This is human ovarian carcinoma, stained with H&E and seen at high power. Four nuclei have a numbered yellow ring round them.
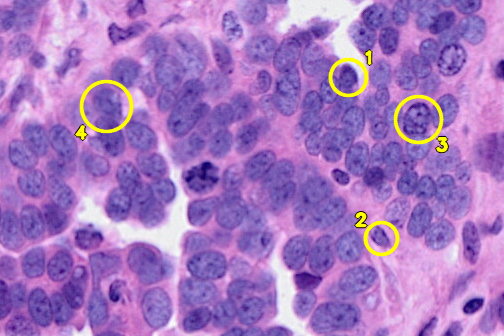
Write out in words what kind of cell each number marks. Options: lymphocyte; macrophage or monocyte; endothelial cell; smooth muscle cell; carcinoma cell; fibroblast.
Cells 1, 3 and 4 are carcinoma cells. Cell 2 is a macrophage or monocyte.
